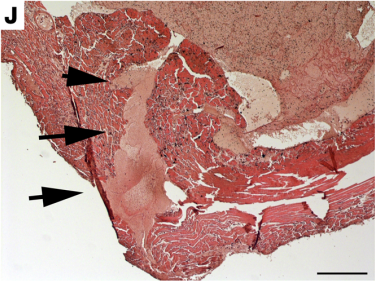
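This is a section of the ventricular wall of the heart, with red-stained bundles of cardiac muscle fibres broken into separated fragments with clefts between them. A pale pink band with few cells runs across the wall and marks an intramural rupture track through the myocardium. Loose, finely granular pink material fills part of the lumen at the upper right.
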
